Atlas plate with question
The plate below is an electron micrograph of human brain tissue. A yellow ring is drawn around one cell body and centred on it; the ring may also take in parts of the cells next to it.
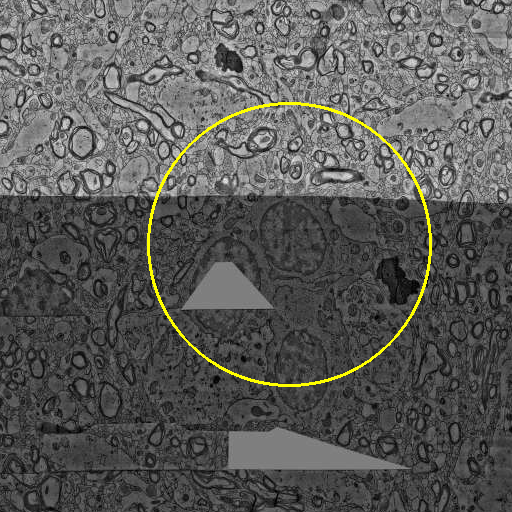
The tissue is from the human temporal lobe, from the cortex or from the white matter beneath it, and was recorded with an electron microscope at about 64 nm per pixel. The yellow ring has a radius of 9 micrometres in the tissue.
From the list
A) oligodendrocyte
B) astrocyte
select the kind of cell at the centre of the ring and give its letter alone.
A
